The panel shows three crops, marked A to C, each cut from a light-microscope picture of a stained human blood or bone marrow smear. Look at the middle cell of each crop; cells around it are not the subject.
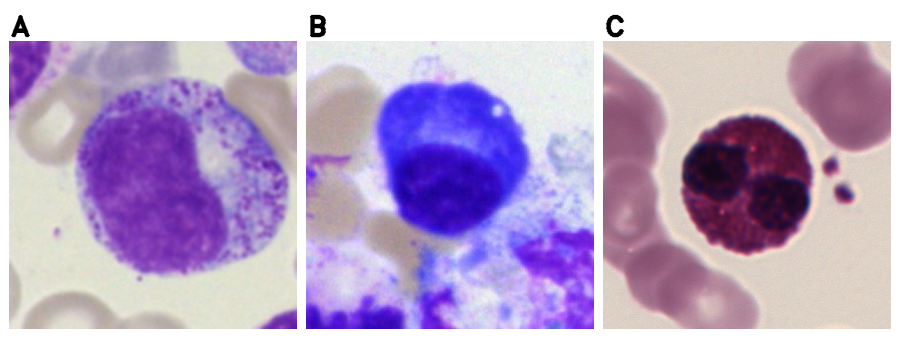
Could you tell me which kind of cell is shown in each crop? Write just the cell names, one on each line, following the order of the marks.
promyelocyte
plasma cell
eosinophil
